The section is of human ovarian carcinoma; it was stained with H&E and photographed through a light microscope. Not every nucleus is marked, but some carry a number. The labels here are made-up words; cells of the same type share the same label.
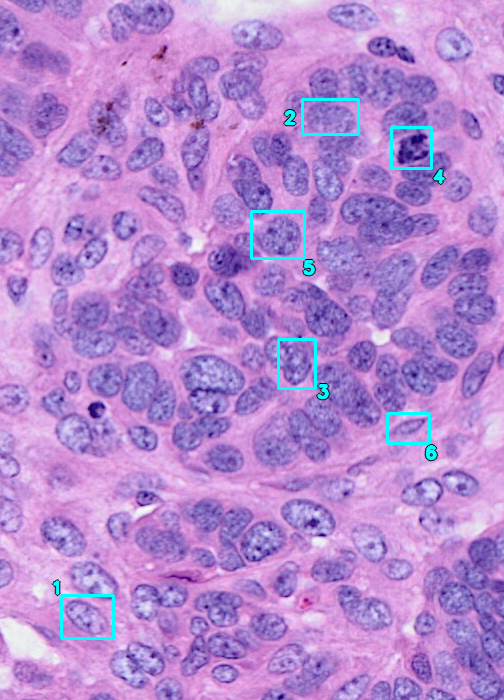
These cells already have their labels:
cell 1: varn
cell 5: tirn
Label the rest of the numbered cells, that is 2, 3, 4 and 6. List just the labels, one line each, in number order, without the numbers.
tirn
tirn
tirn
varn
